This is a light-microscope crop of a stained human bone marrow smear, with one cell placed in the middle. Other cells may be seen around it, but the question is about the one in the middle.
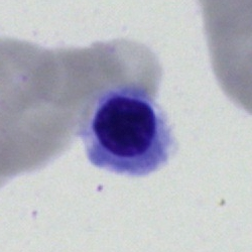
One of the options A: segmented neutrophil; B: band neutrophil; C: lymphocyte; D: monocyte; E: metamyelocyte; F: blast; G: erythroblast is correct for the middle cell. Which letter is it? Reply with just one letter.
G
